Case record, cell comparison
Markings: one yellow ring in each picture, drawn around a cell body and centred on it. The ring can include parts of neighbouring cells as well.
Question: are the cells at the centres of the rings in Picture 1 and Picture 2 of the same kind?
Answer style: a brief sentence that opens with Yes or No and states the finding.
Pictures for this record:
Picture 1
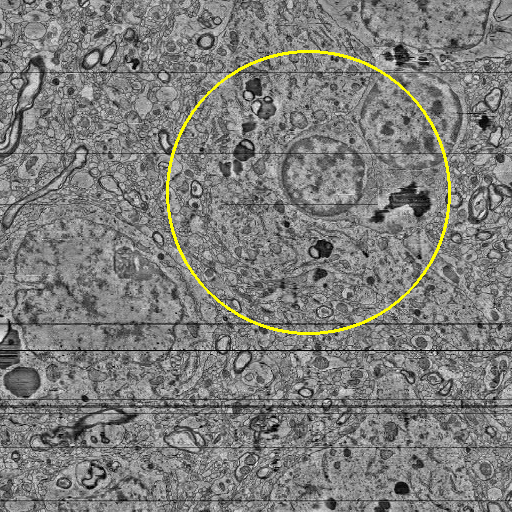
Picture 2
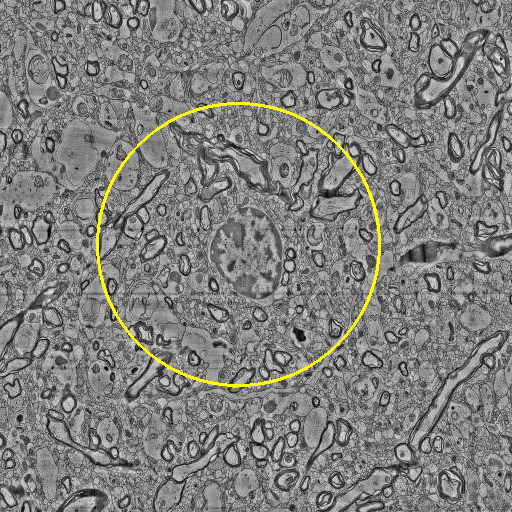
No, the cells in Picture 1 and Picture 2 are of two kinds.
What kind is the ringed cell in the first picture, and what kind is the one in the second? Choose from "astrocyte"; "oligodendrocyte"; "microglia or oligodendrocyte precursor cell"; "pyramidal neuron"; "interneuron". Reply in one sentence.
The first cell is an oligodendrocyte; the second is a microglial cell or oligodendrocyte precursor cell.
